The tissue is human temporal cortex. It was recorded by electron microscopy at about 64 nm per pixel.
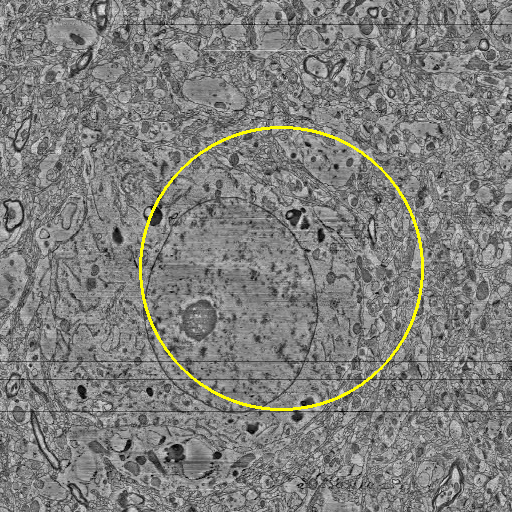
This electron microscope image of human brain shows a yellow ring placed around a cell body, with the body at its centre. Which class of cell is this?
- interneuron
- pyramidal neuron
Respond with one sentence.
The cell body at the ring's centre is a pyramidal neuron.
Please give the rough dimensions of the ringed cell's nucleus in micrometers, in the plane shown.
The nucleus is approximately 14 micrometers long by 11 micrometers wide in this plane.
